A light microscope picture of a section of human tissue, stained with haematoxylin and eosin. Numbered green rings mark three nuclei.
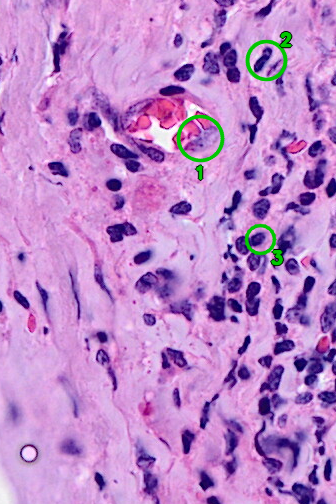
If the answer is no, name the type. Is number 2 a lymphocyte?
Yes.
